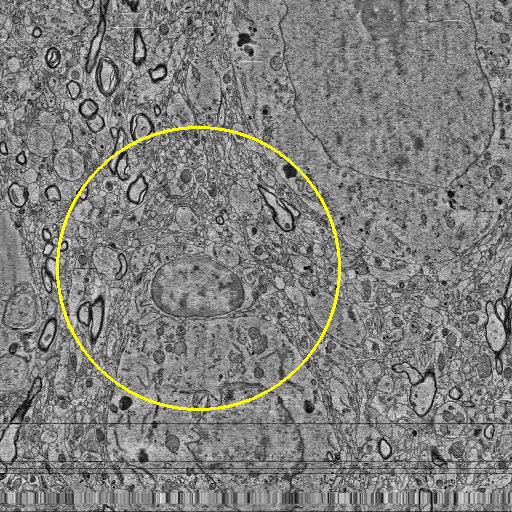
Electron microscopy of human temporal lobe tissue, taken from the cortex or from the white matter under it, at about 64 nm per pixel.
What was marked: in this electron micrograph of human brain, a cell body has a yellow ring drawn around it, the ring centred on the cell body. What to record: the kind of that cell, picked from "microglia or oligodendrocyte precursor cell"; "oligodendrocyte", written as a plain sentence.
The centred cell is a microglial cell or oligodendrocyte precursor cell.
